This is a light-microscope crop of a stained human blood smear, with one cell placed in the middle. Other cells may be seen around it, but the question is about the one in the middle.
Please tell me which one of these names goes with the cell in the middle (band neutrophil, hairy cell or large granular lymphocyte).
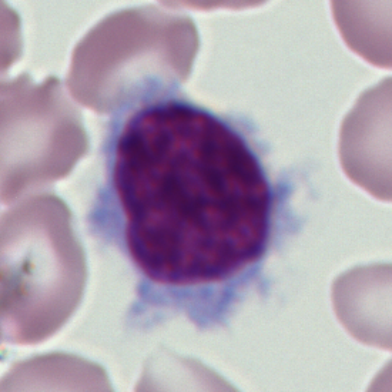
hairy cell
